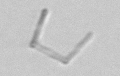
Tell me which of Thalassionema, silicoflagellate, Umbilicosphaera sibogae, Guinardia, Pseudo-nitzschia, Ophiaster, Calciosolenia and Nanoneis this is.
The picture shows Nanoneis.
